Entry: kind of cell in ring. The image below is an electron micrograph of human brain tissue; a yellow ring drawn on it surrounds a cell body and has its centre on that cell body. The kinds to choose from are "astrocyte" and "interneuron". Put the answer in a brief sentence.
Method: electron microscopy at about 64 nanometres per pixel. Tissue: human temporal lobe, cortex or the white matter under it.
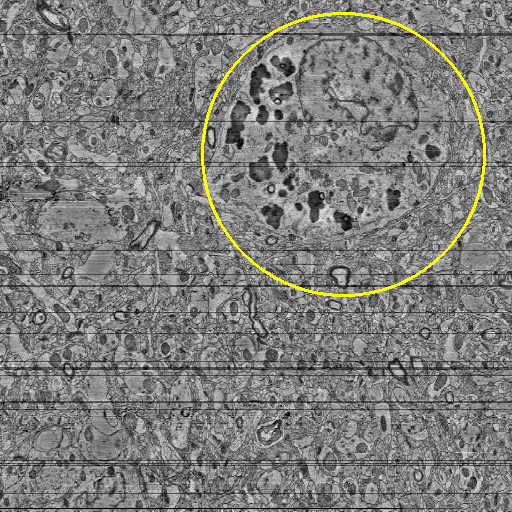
The ring has been drawn around an interneuron.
